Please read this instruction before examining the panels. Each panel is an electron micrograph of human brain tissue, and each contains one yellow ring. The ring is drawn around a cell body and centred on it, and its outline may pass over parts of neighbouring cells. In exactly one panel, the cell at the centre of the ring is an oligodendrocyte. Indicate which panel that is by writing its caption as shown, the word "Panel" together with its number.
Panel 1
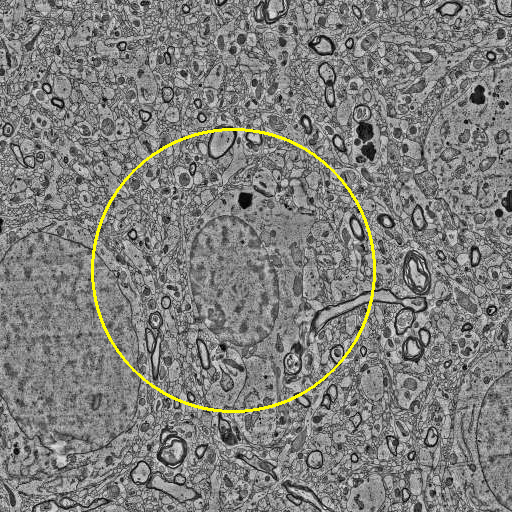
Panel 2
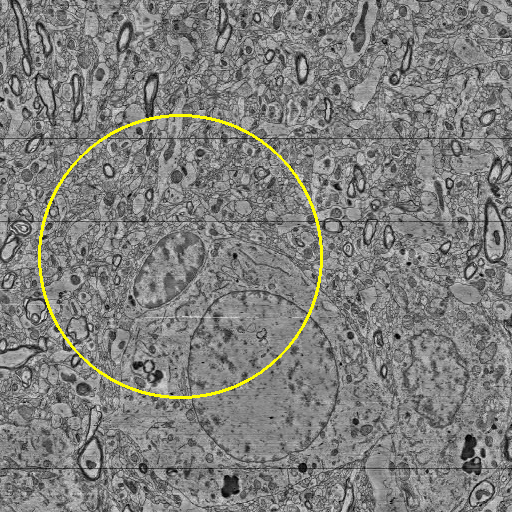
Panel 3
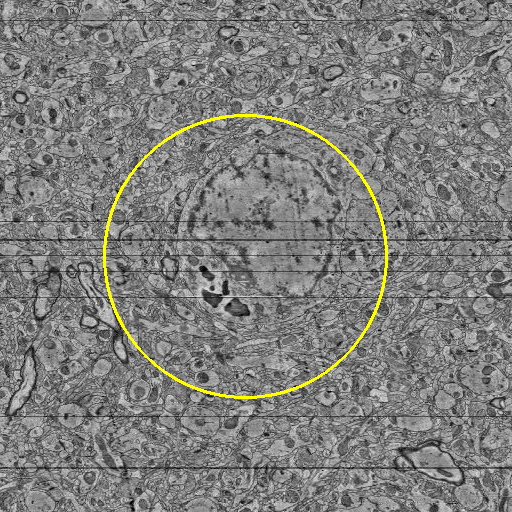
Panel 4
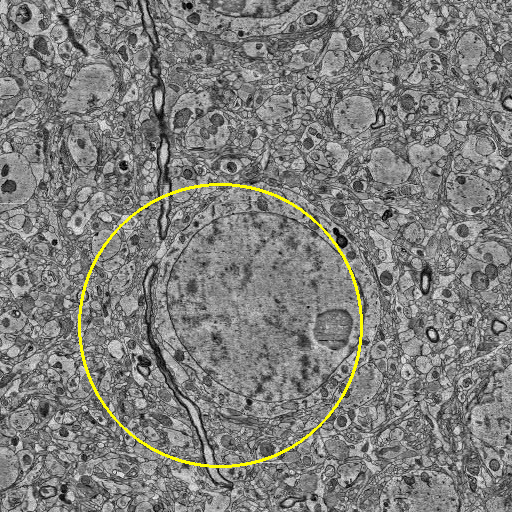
Panel 1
